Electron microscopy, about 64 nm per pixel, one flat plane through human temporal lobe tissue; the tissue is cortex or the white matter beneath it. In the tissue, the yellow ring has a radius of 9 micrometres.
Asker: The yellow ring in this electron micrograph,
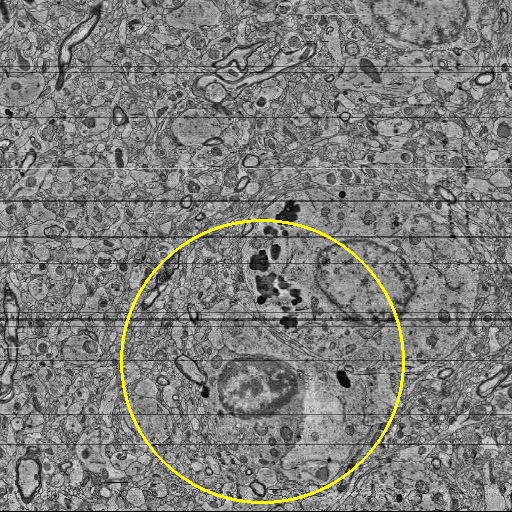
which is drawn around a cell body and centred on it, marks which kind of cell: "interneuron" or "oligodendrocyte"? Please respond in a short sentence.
The marked cell is an oligodendrocyte.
